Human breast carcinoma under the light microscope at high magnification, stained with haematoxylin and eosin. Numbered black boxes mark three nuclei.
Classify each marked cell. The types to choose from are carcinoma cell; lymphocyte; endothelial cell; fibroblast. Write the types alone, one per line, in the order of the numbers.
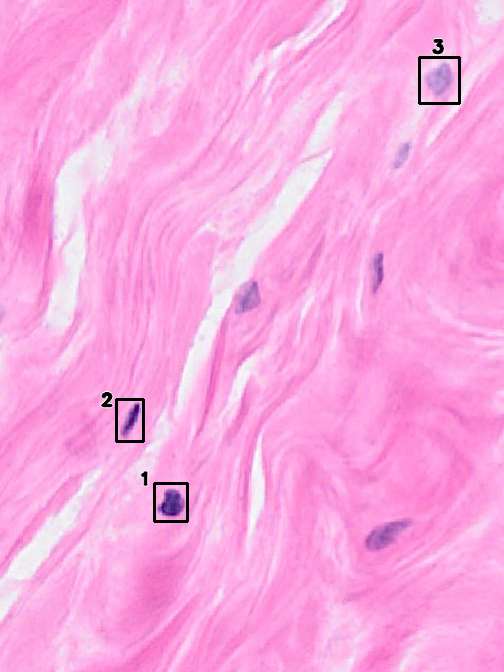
lymphocyte
fibroblast
fibroblast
